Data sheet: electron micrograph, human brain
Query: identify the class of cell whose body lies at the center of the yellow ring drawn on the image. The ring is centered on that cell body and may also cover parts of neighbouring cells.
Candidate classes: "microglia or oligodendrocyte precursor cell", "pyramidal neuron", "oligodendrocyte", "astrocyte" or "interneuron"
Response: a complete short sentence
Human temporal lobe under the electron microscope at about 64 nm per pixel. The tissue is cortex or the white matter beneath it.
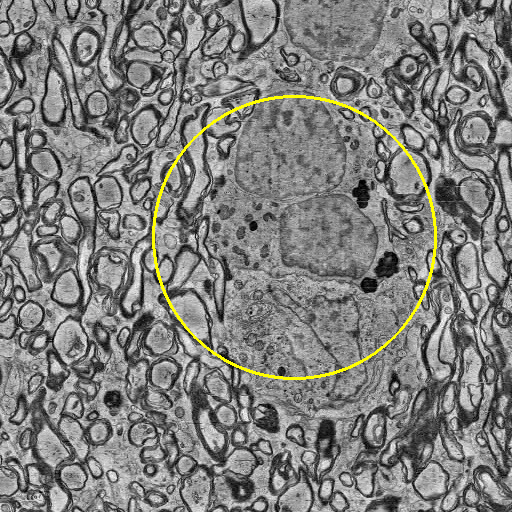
At the center of the ring lies an oligodendrocyte.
